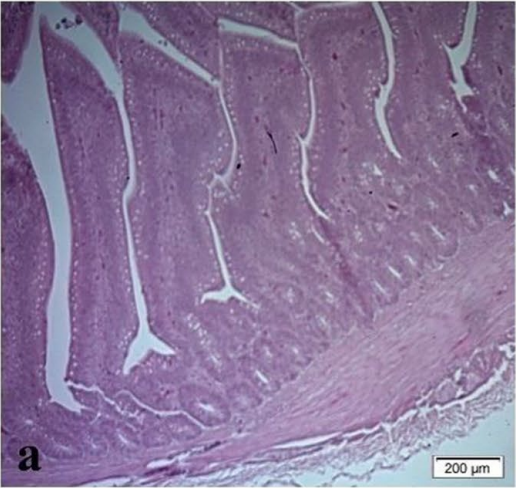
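This is intestinal mucosa with long, slender, intact villi standing in parallel rows, separated by clear luminal spaces. Each villus is covered by a single layer of columnar epithelium dotted with pale goblet cells, with crypts at the base and a pink band of smooth muscle running beneath.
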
